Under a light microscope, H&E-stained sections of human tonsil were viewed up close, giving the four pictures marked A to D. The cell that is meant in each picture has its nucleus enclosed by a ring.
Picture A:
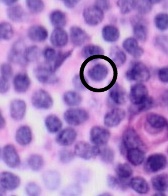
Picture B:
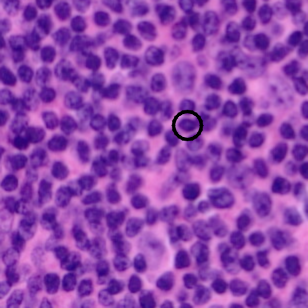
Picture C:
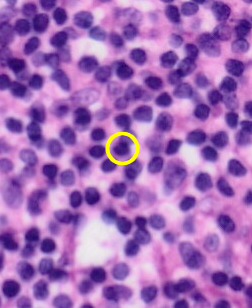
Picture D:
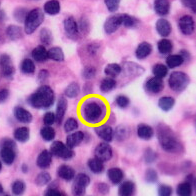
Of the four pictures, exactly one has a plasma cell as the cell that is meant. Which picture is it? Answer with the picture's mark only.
D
